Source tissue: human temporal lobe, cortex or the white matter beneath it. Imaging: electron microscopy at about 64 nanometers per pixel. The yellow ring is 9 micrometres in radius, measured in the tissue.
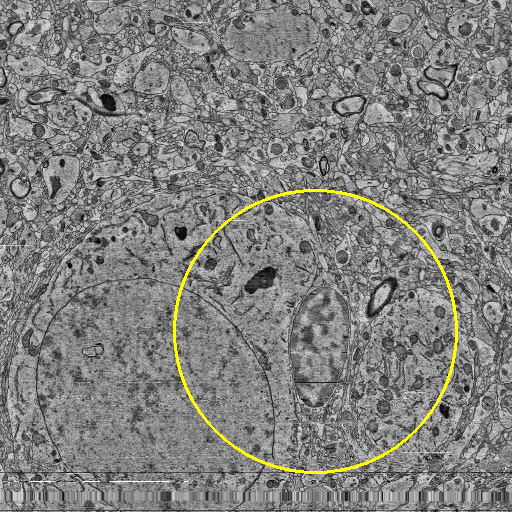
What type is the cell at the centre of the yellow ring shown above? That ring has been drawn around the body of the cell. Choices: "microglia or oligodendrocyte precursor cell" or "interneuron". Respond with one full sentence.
My answer is that a microglial cell or oligodendrocyte precursor cell lies at the centre of the yellow ring above.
